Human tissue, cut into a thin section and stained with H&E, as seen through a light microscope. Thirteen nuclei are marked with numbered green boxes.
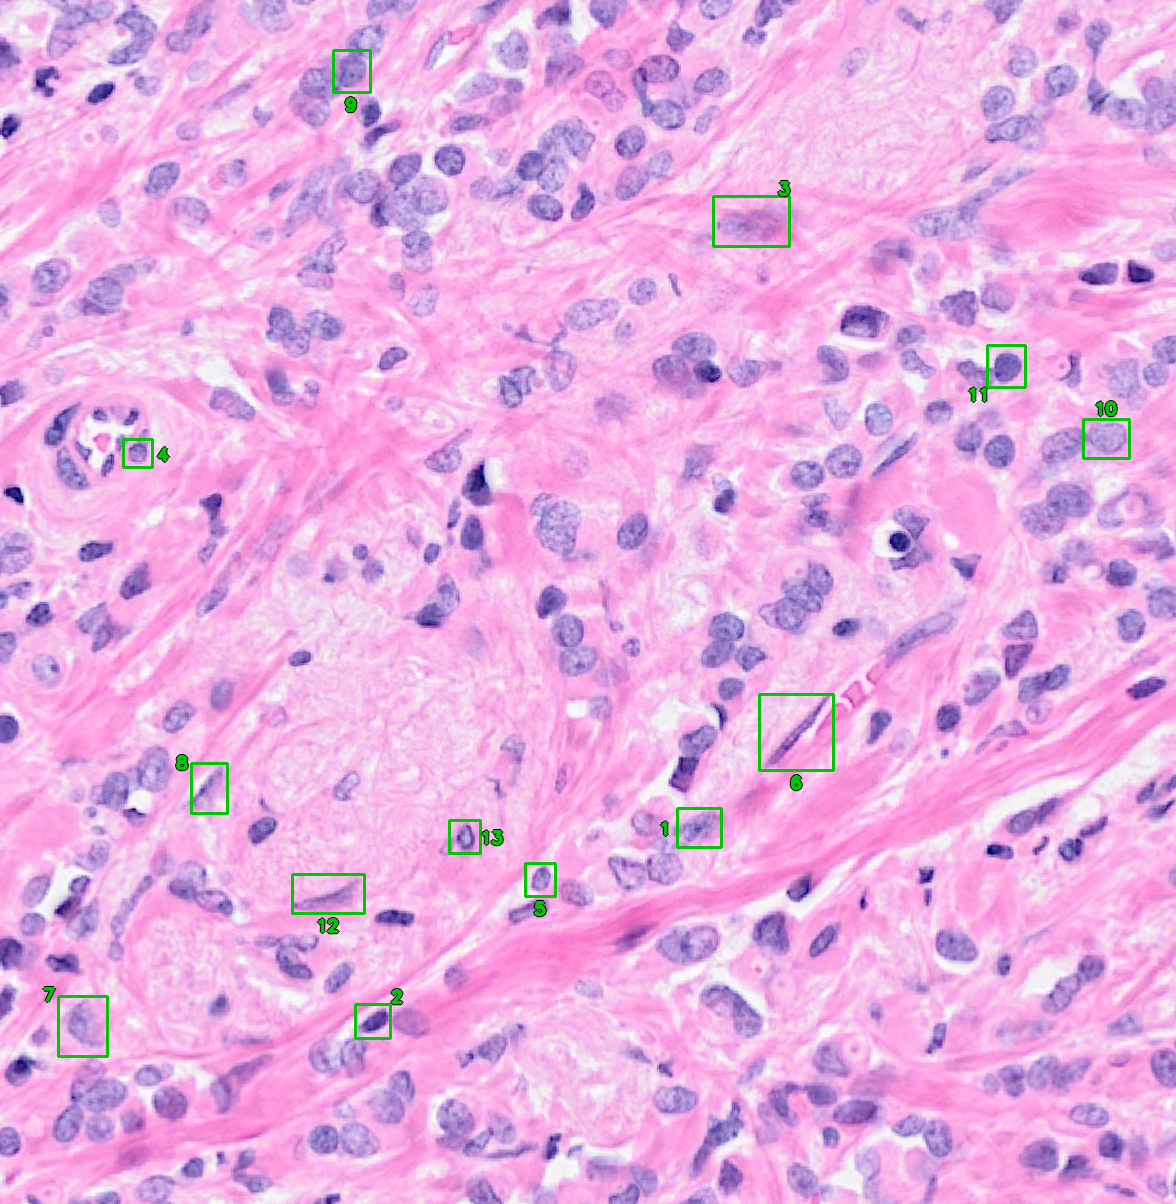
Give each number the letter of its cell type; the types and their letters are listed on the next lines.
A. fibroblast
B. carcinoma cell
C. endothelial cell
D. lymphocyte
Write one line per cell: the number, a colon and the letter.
1: A
2: D
3: A
4: C
5: D
6: C
7: A
8: A
9: B
10: B
11: B
12: A
13: C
